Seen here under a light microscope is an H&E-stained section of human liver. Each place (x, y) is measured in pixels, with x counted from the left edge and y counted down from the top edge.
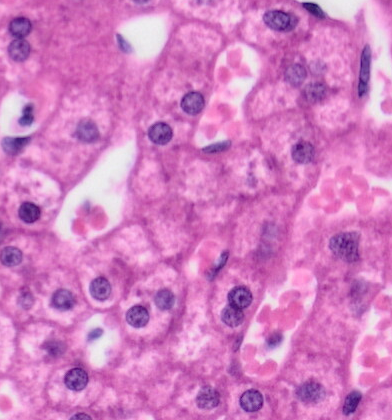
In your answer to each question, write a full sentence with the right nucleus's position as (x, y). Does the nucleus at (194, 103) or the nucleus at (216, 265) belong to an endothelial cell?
It is the nucleus at (216, 265), not the other one, that belongs to an endothelial cell.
